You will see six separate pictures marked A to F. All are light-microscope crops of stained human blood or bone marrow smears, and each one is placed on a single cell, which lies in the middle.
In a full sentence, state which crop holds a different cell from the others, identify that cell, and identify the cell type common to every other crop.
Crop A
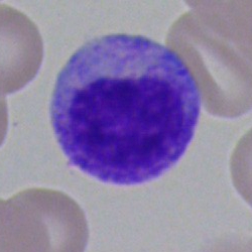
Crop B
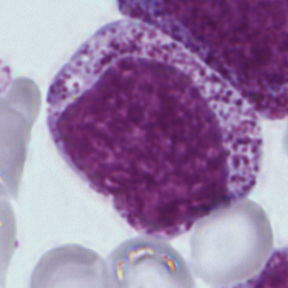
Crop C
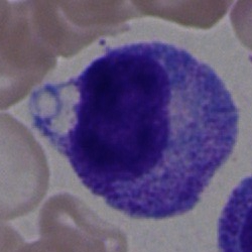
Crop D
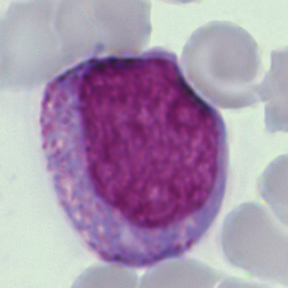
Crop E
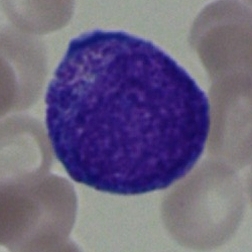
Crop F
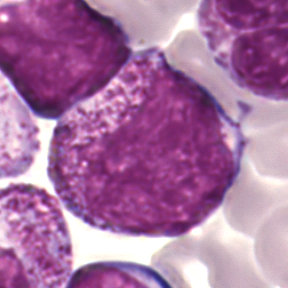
Crop A is the odd one out, being a myelocyte, while all the other crops show promyelocytes.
